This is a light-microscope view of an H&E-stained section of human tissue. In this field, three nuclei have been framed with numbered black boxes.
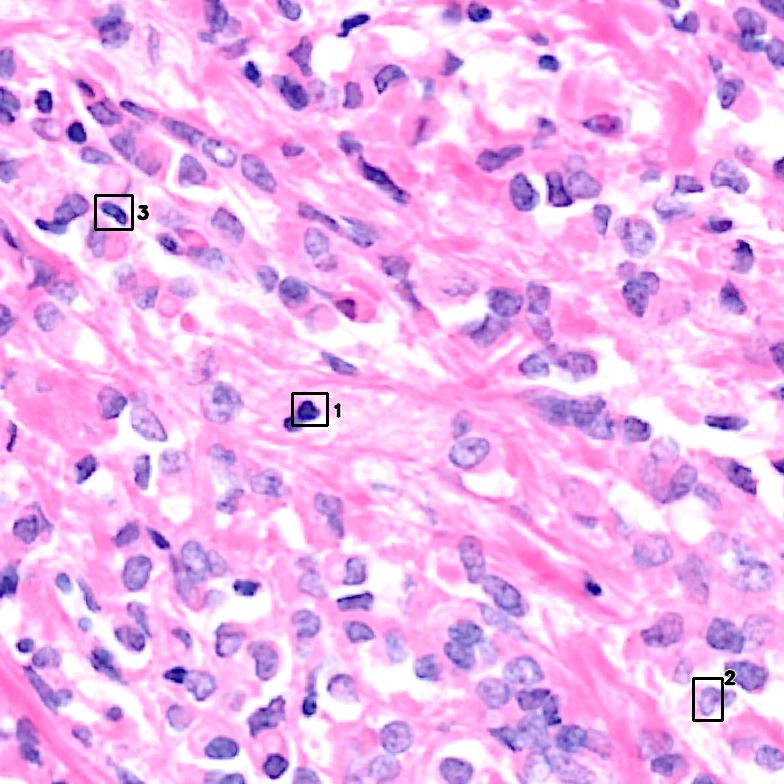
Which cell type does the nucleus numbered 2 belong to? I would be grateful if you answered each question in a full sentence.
The one labeled 2 is a carcinoma cell, to put it simply.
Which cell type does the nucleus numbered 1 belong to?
The cell tagged with 1 in this tissue section is a lymphocyte.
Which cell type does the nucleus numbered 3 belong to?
The numbered cell 3 is identified here as a lymphocyte.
